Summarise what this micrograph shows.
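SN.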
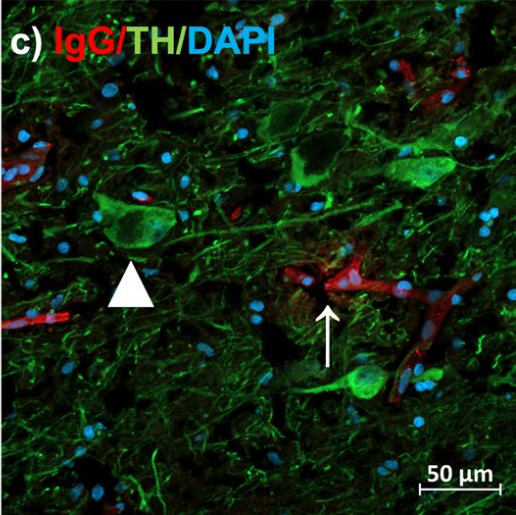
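The green neurons are large and polygonal, several with a process leaving the cell body, scattered across the upper and middle field. Red, narrow, branching tubular profiles run through the tissue, and small blue nuclei lie along them as well as scattered through the surrounding neuropil. Around one red vessel near the centre a faint red haze extends into the adjacent tissue, close to the green fibres and neurons. The blue nuclei are far smaller than the green neuronal bodies.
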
